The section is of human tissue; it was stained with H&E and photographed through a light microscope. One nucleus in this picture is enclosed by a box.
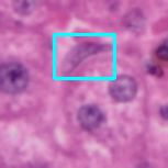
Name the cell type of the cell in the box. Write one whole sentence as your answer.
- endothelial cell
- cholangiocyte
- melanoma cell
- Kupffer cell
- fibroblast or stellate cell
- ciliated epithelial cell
This is a Kupffer cell.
